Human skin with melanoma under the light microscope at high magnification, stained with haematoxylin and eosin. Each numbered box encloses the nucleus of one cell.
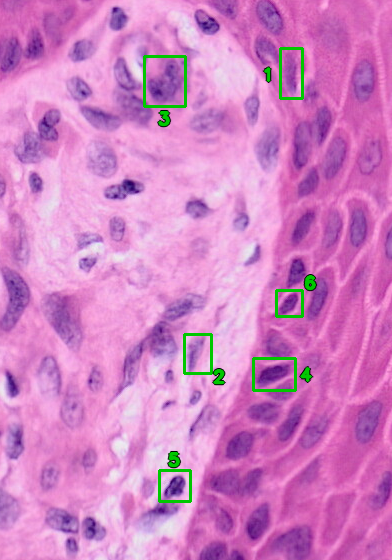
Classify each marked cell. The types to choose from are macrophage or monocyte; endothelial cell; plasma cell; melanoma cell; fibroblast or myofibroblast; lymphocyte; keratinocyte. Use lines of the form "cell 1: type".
cell 1: keratinocyte
cell 2: fibroblast or myofibroblast
cell 3: endothelial cell
cell 4: keratinocyte
cell 5: lymphocyte
cell 6: keratinocyte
